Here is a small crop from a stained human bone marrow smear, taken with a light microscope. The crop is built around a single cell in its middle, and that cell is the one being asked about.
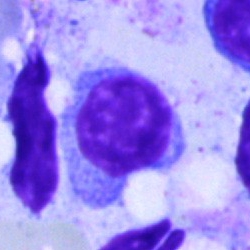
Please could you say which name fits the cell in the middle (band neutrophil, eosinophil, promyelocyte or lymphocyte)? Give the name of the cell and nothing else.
lymphocyte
